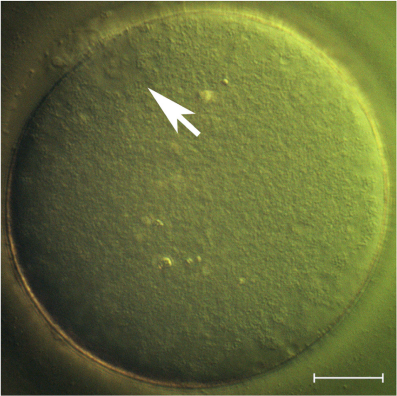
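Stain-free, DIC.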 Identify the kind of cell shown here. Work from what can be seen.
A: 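Oocyte. A single very large round cell fills the field. A clear thick coat surrounds the cell. The cytoplasm is finely granular throughout.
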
